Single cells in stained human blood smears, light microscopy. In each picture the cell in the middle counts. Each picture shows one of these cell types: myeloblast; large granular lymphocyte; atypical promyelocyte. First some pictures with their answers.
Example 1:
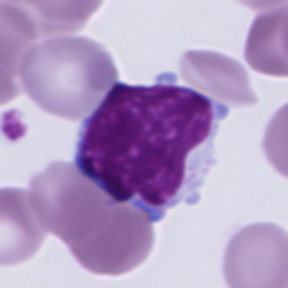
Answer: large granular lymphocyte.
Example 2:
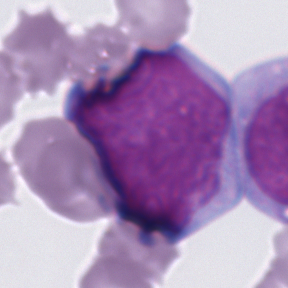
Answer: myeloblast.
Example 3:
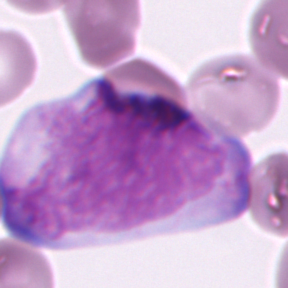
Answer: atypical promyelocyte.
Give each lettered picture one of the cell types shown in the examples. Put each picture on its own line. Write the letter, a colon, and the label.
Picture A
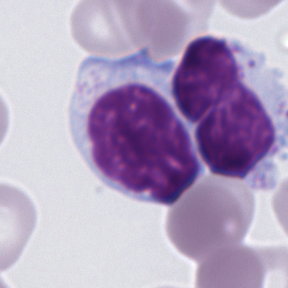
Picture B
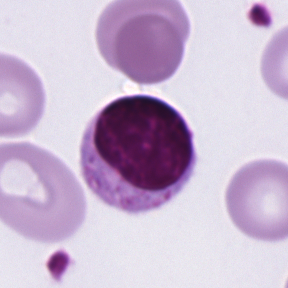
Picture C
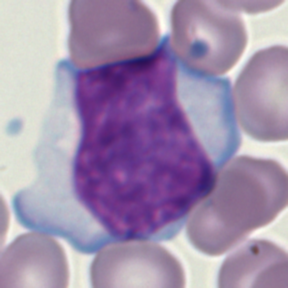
A: large granular lymphocyte.
B: large granular lymphocyte.
C: myeloblast.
